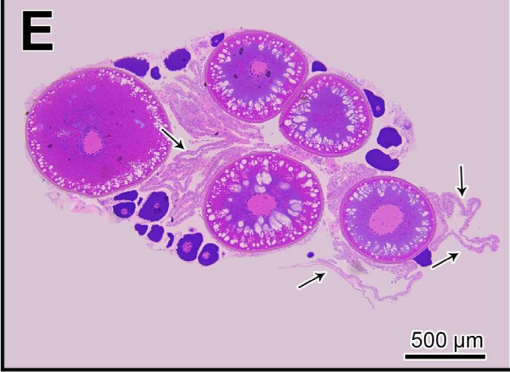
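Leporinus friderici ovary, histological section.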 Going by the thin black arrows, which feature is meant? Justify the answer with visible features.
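The arrows point to collapsed, folded, pale membranous sheets without an oocyte inside. These lie among intact round oocytes.
Hence: Post-ovulatory follicles.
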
